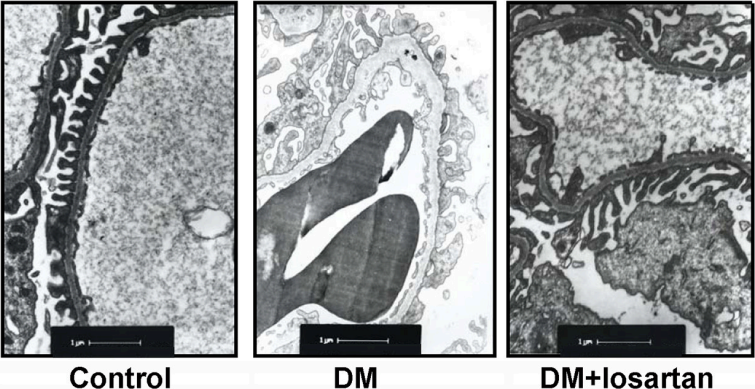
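These transmission electron micrographs show the glomerular capillary wall, with the glomerular basement membrane and the podocytes on its outer side. In the left and right images the basement membrane is a dark, continuous band bordering a lumen filled with fine granular material. On its outer face a regular row of small foot processes rests side by side, separated by narrow slits. The middle image is paler, and a capillary holds dark, smooth profiles of red blood cells. In the right image part of a cell body with granular cytoplasm lies beneath the capillary wall.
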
